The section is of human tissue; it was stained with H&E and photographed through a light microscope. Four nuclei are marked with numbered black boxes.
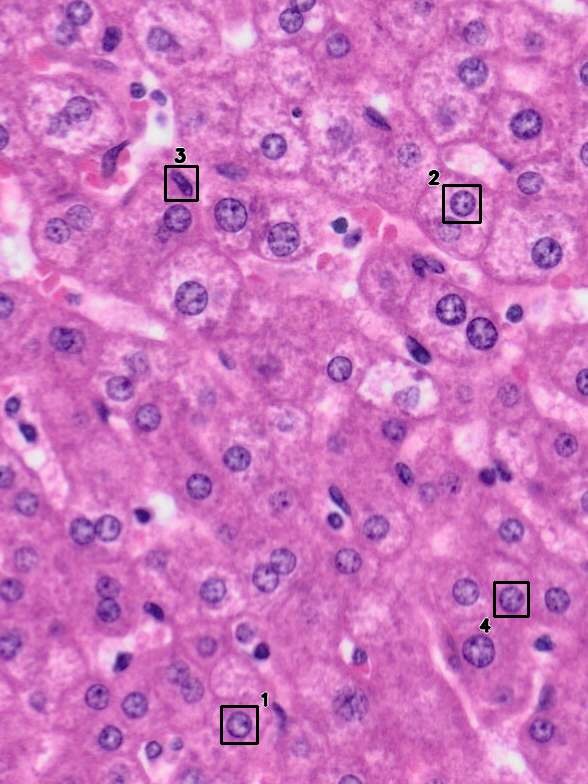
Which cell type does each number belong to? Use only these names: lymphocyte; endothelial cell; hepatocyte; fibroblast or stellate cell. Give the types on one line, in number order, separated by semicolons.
hepatocyte; hepatocyte; fibroblast or stellate cell; hepatocyte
